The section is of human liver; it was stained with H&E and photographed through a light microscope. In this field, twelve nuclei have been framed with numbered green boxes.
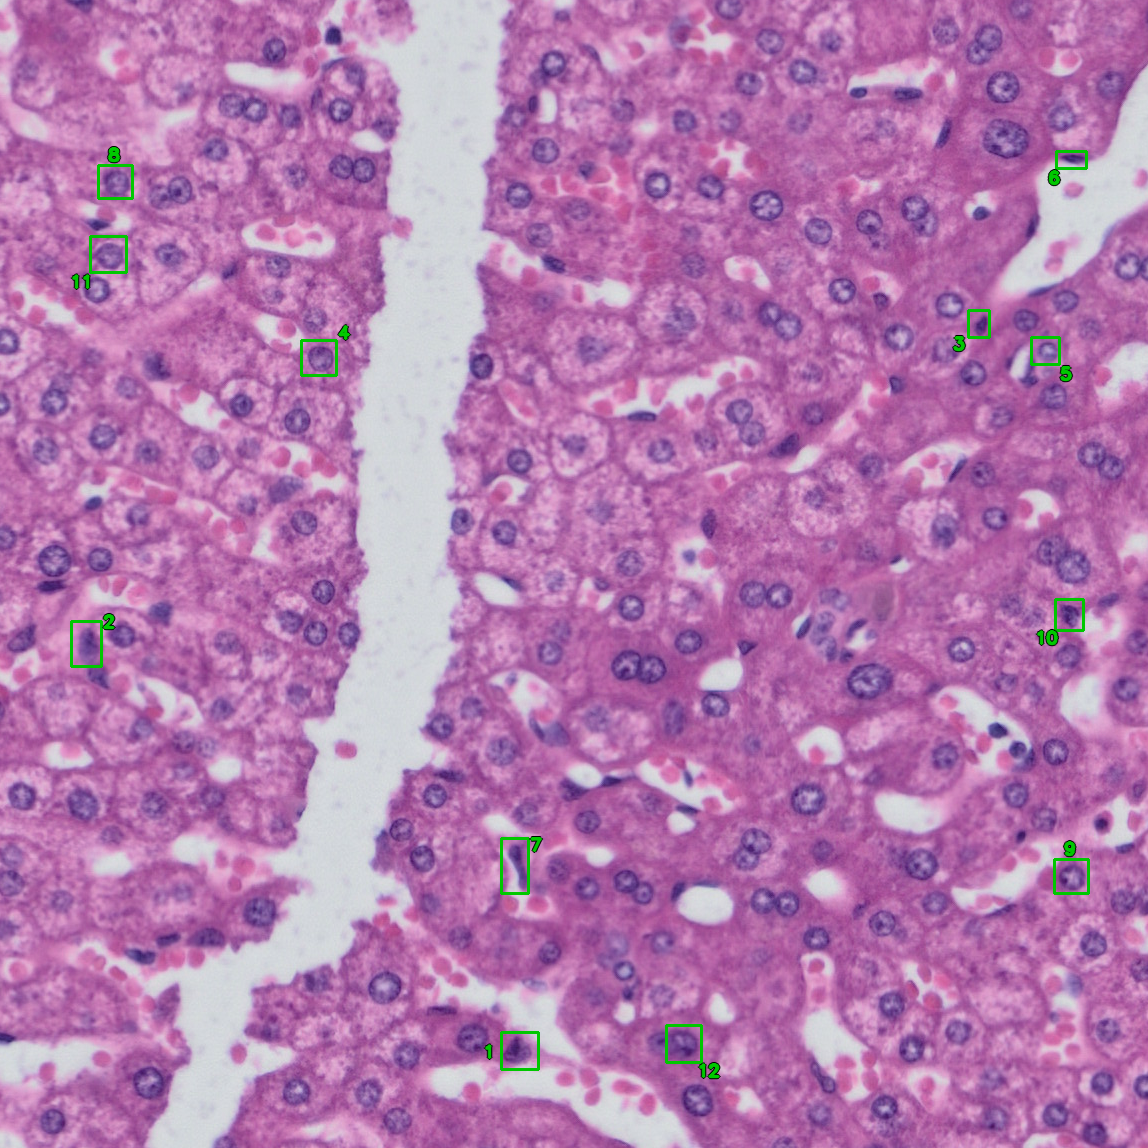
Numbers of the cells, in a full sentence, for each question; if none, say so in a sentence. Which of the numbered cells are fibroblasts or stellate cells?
The cells the numbers 2, 3, 6 and 10 point to are fibroblasts or stellate cells.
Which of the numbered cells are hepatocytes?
The cells 4, 8, 9, 11 and 12 in this section are hepatocytes.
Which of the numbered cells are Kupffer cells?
Classified as Kupffer cells are the cells numbered 1 and 7.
